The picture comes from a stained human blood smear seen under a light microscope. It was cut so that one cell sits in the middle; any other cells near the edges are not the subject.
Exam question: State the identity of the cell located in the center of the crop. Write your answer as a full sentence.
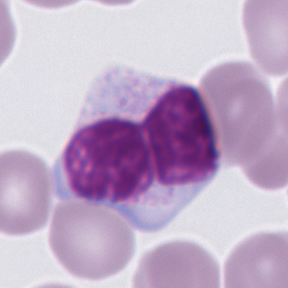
Classification of the middle cell gives a large granular lymphocyte.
